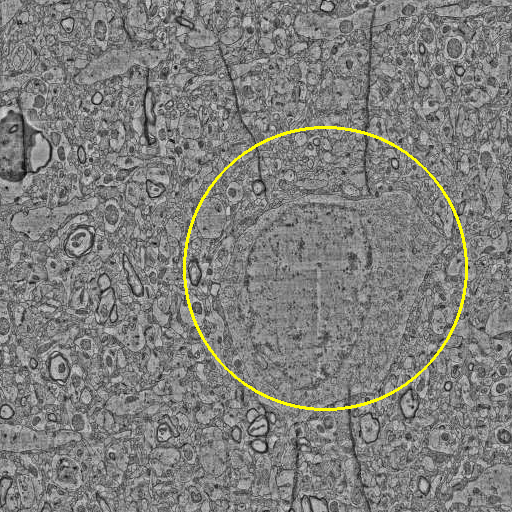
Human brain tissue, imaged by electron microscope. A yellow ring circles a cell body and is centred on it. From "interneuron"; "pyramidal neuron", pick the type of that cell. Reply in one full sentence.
The cell body at the centre of the yellow ring belongs to an interneuron.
